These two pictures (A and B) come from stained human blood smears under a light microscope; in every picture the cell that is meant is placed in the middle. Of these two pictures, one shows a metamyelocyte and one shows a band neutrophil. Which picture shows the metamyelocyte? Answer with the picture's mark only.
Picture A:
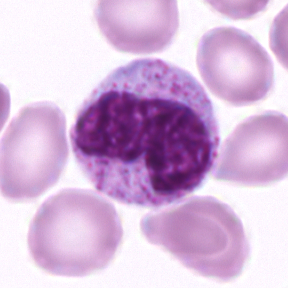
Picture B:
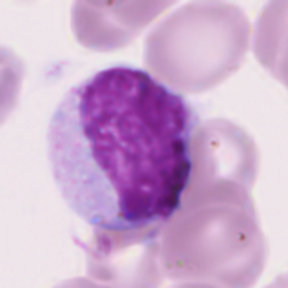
B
